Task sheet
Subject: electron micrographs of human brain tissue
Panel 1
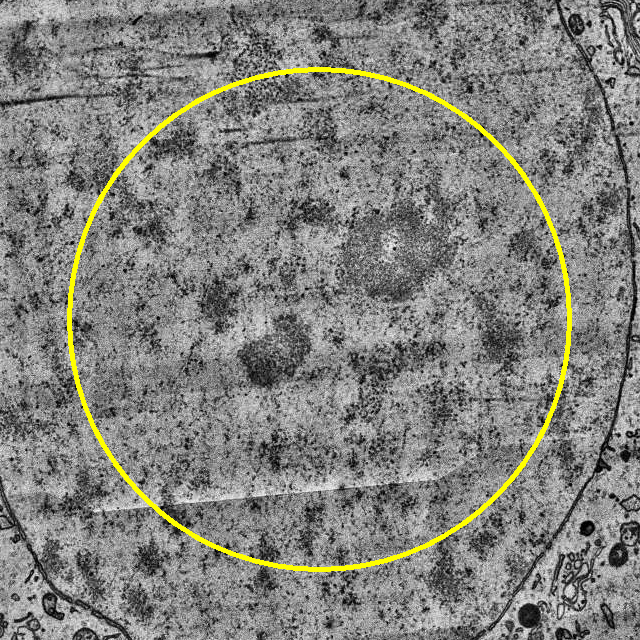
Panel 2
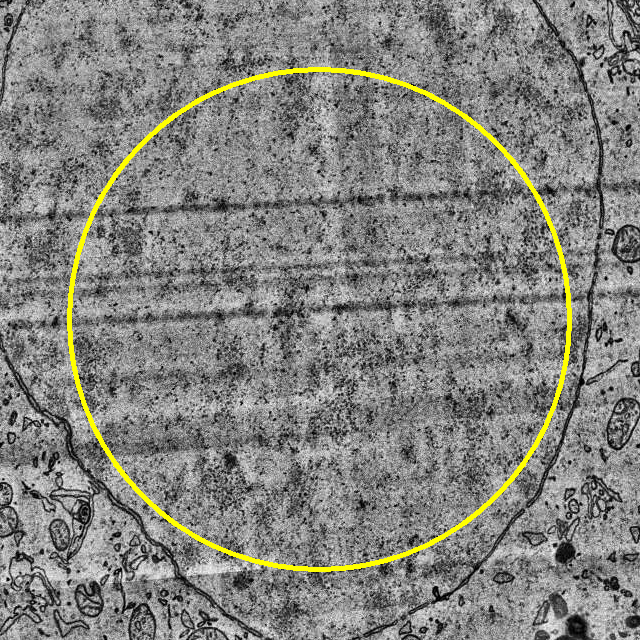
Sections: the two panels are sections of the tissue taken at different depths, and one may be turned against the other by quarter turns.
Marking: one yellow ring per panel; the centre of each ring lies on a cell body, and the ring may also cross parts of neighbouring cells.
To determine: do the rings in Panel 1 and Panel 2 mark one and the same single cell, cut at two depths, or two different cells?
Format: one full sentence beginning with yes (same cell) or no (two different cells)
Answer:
Yes, a single cell lies behind both yellow marks.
